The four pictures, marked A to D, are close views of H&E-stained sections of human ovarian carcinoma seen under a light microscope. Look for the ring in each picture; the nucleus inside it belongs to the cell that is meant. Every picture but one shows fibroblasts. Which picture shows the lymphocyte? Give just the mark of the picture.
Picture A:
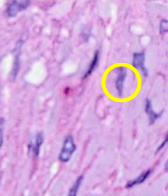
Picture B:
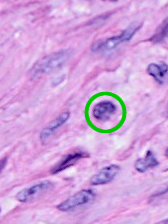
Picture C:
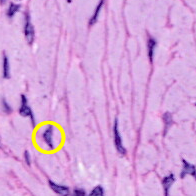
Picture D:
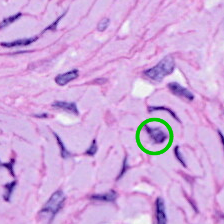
B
